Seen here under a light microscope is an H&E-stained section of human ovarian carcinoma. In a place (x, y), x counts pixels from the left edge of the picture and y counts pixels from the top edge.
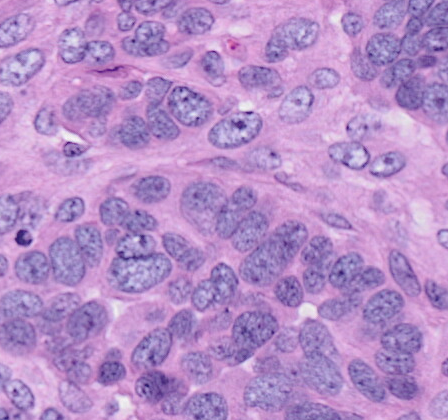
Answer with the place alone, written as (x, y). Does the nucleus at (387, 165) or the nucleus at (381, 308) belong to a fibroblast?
(387, 165)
